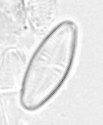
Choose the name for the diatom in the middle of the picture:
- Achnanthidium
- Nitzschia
Achnanthidium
